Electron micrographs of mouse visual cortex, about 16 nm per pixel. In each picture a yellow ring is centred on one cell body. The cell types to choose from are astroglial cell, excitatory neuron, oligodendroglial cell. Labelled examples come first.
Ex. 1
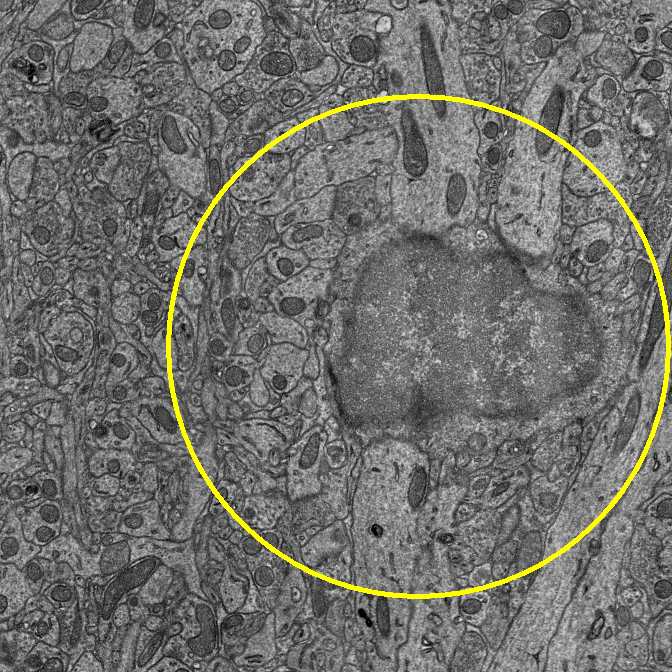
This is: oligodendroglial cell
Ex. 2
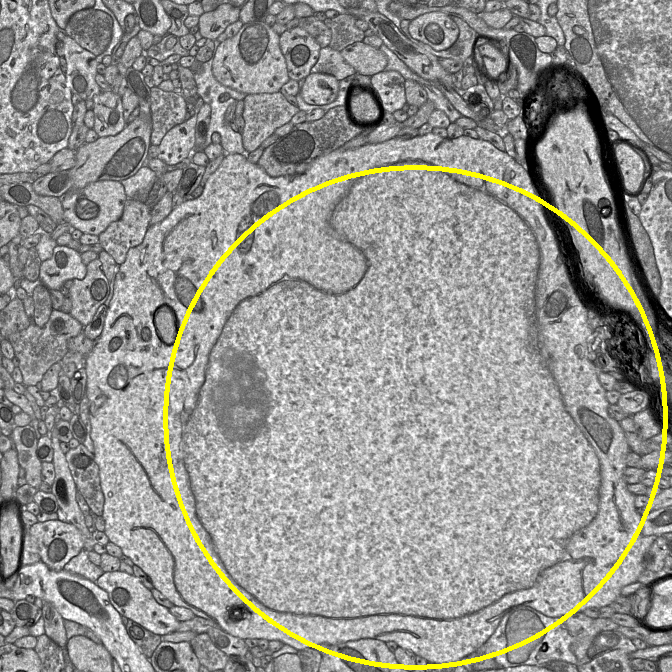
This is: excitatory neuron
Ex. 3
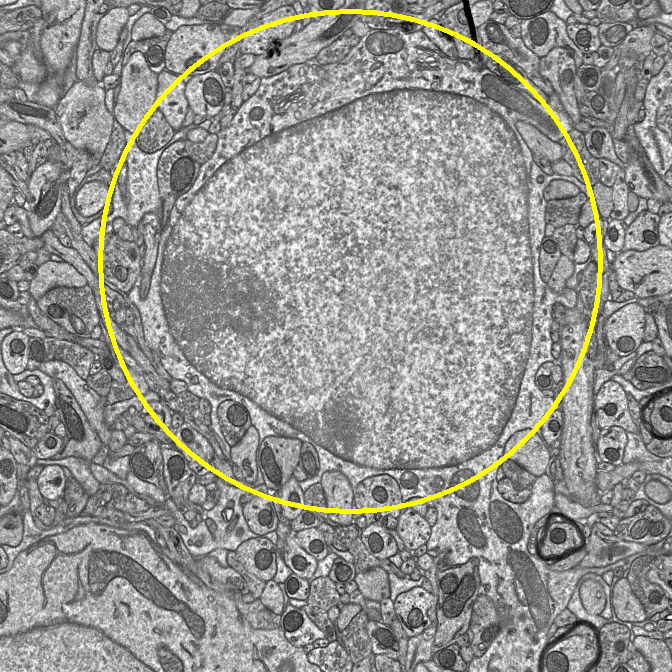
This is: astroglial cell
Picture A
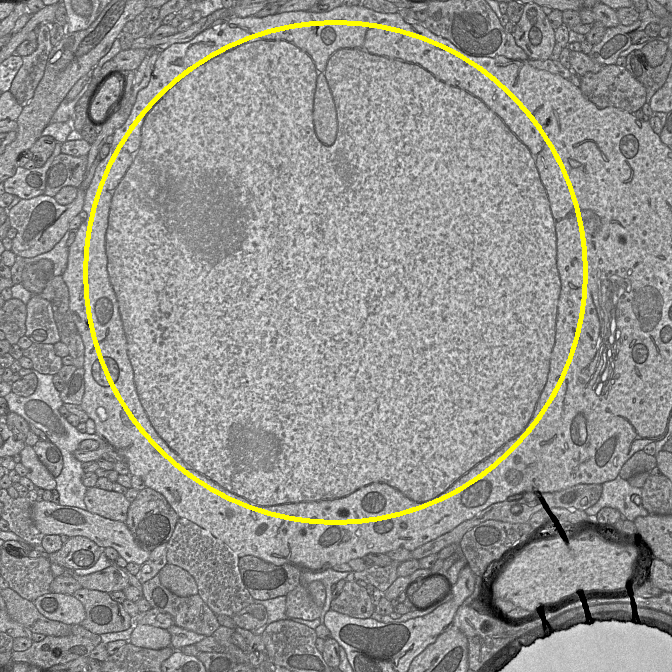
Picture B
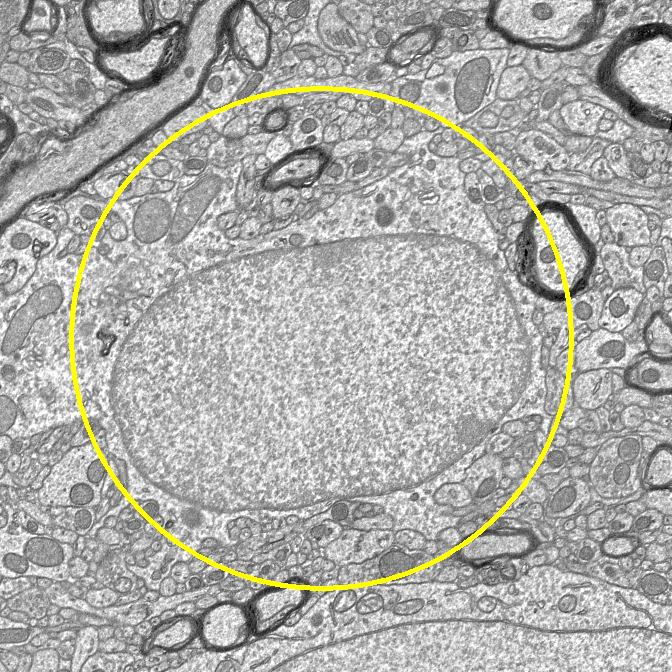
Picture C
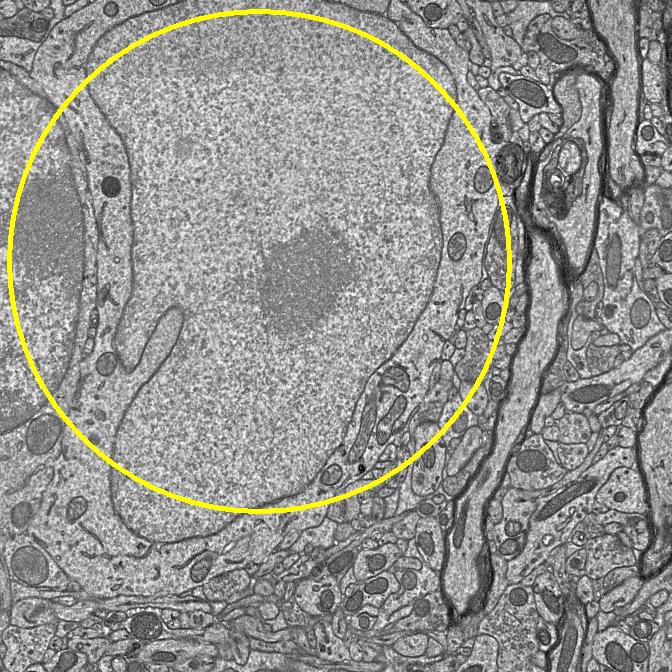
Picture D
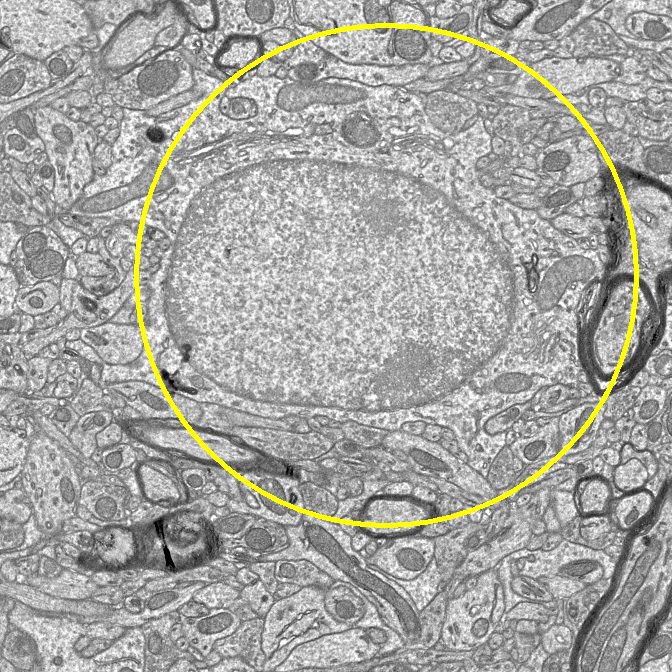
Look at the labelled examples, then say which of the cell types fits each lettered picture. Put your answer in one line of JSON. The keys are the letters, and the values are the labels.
{"A": "excitatory neuron", "B": "astroglial cell", "C": "excitatory neuron", "D": "astroglial cell"}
